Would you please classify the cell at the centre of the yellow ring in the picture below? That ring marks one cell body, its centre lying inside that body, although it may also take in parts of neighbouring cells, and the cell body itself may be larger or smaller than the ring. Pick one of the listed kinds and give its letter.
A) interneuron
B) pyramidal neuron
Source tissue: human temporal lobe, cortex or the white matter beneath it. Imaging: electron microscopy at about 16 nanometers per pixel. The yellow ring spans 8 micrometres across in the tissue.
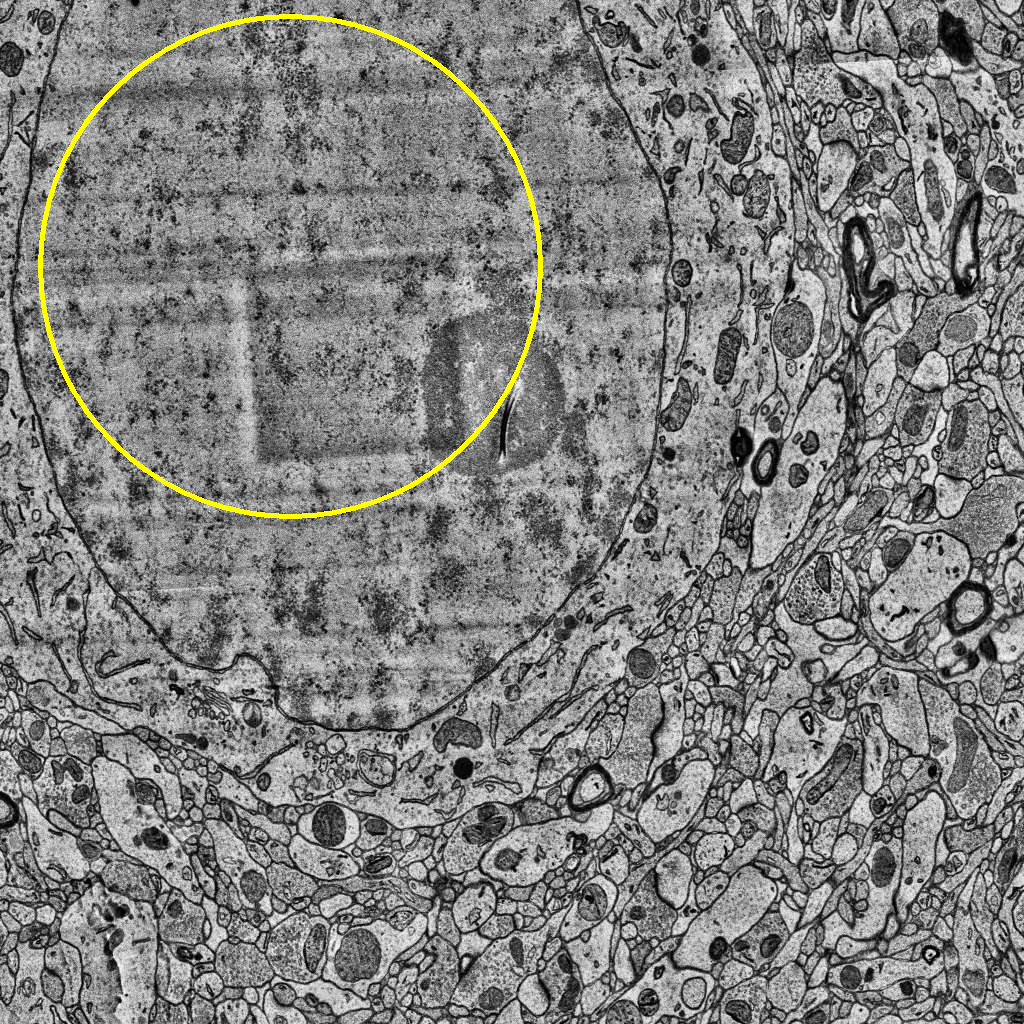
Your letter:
B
